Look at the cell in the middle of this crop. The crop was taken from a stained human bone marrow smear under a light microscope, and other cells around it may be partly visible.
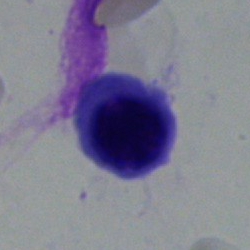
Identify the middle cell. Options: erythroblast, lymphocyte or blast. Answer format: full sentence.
The cell centered in this field of view is an erythroblast.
